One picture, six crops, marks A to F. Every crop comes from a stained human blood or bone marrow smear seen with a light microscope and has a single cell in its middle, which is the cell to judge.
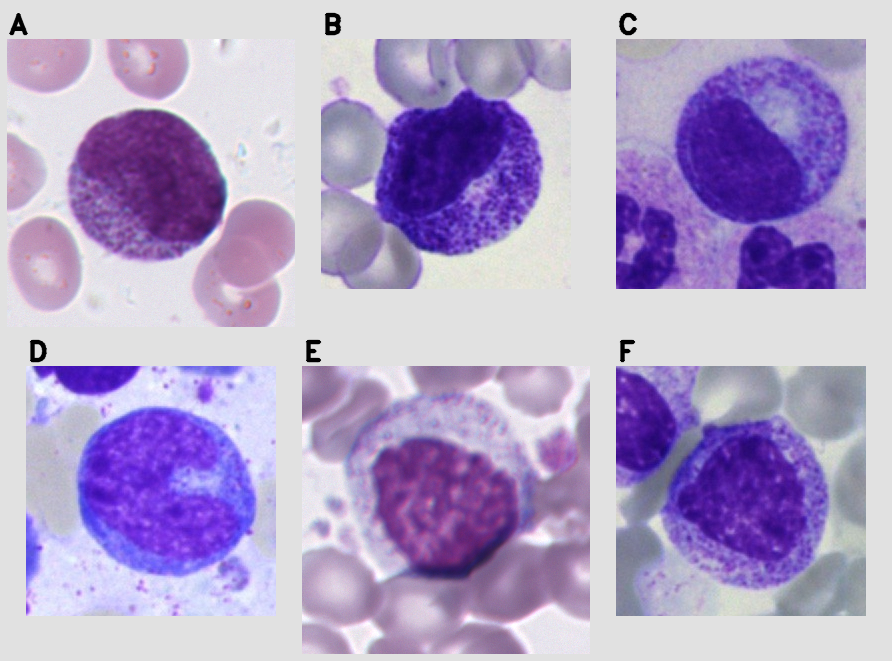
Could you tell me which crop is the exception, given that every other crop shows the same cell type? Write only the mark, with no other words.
D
